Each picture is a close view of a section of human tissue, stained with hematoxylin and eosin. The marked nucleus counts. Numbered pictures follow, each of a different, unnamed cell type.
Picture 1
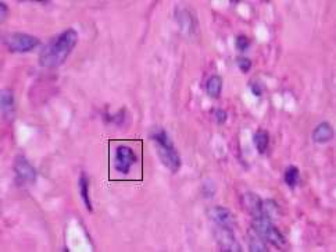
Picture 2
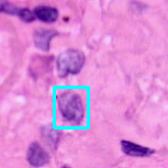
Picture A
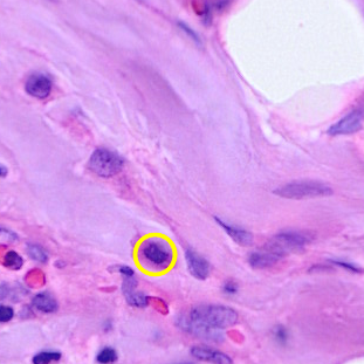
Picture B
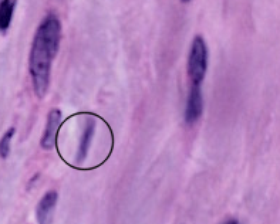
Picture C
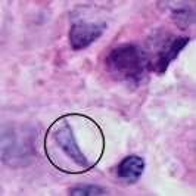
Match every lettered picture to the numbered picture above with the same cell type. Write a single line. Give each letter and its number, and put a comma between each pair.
A 1, B 2, C 2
